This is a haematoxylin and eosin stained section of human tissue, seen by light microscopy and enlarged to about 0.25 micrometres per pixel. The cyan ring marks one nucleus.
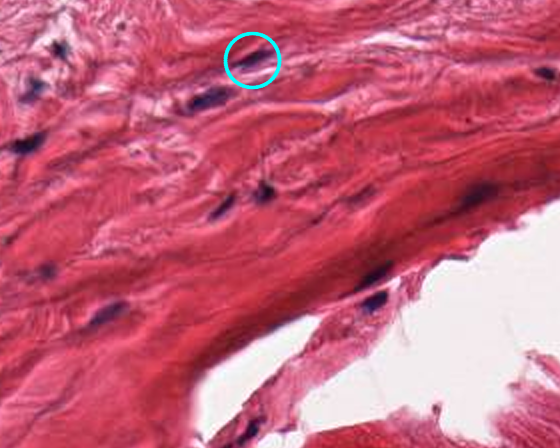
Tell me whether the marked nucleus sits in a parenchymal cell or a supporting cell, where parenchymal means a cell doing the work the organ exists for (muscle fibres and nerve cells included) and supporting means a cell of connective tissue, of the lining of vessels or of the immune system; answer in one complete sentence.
It is to a supporting cell that the marked nucleus is assigned.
